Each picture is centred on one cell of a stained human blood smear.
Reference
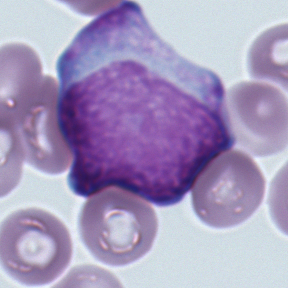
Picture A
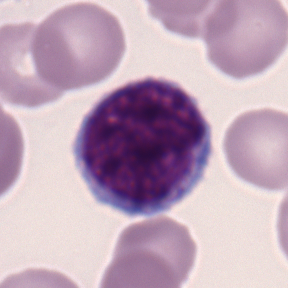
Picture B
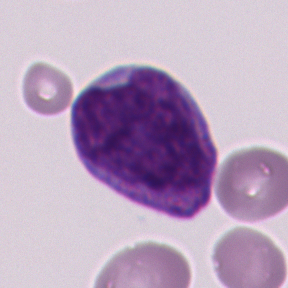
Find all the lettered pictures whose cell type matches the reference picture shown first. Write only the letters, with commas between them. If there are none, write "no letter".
B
